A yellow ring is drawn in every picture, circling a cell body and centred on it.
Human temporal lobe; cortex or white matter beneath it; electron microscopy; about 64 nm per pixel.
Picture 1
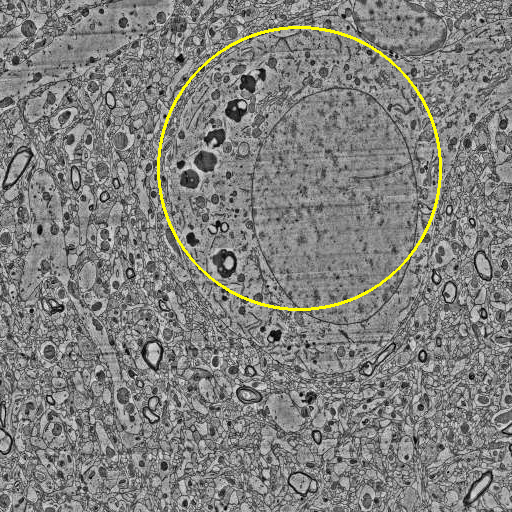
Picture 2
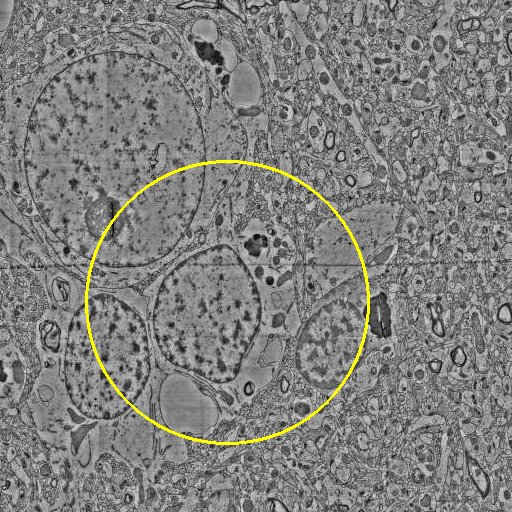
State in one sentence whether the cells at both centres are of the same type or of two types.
The cells at the two ring centres, one per picture, are of two types.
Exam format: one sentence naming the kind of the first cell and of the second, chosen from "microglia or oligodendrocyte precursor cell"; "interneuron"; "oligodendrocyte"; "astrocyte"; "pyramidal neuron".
The first picture's cell is a pyramidal neuron, and the second picture's cell is an astrocyte.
